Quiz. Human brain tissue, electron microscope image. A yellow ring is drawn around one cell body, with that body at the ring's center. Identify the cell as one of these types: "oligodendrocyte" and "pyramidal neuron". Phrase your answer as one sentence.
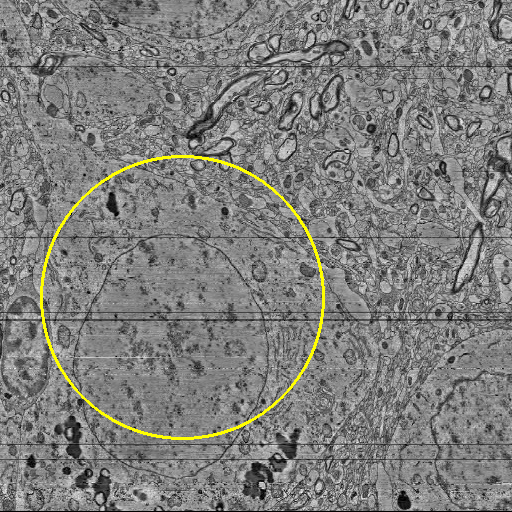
At the center of the ring sits a pyramidal neuron.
